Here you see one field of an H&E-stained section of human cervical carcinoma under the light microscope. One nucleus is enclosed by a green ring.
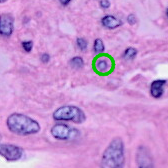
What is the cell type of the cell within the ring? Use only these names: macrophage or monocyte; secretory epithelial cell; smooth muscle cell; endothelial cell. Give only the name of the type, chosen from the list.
smooth muscle cell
